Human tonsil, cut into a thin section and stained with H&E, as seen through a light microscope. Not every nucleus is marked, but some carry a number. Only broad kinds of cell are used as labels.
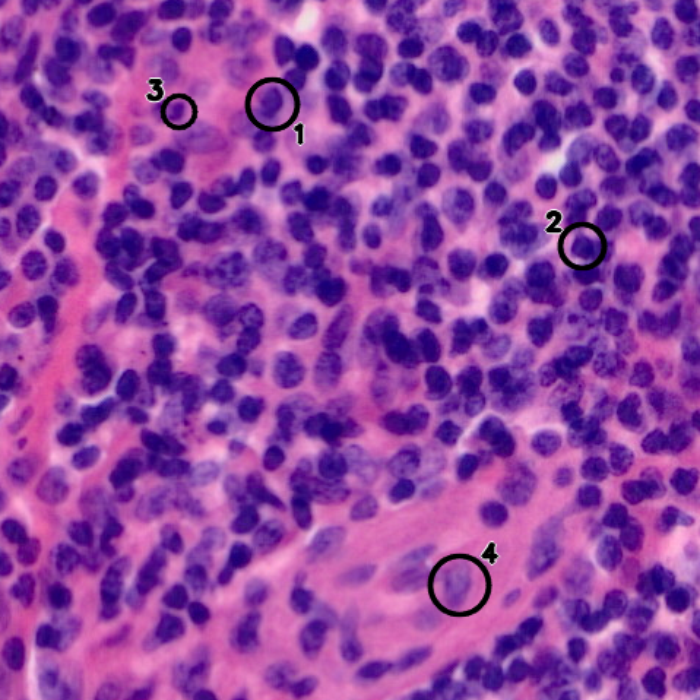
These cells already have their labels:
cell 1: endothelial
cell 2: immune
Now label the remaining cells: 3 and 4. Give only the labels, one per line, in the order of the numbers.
endothelial
endothelial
